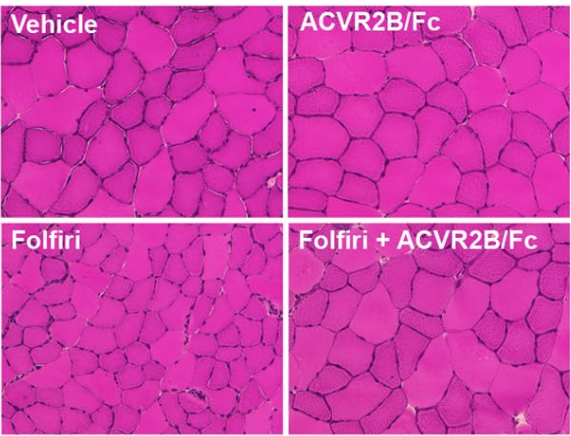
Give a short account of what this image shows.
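These are cross-sections of skeletal muscle, where each pink polygon is a single muscle fiber cut across its length. Small dark purple nuclei lie at the edges of the fibers, pressed against their borders, not in their centers. In the lower left image the fibers are visibly smaller than in the upper left one, so more of them fill the same field.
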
